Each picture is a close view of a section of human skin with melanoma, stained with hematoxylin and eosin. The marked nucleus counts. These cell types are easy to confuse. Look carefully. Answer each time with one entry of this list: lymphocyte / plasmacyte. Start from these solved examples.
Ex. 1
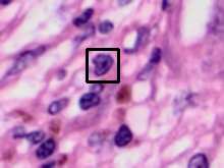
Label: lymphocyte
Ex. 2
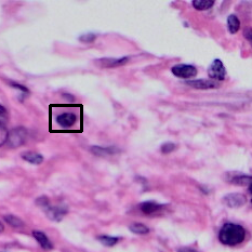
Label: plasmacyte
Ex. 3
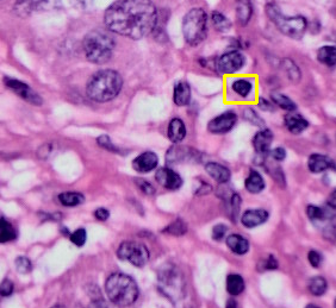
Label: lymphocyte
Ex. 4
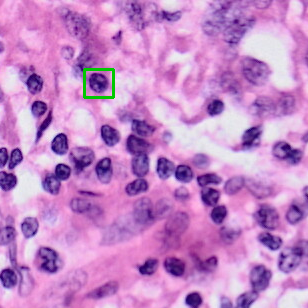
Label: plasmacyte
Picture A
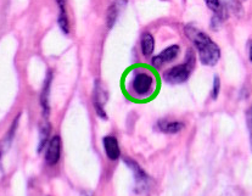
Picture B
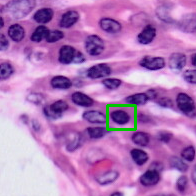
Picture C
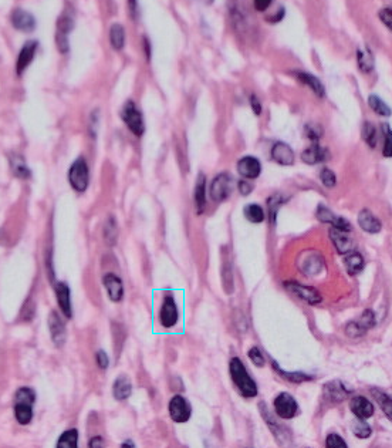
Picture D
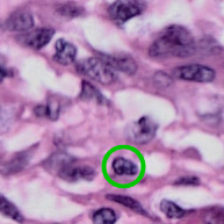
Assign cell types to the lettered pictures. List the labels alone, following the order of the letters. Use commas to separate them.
plasmacyte, plasmacyte, plasmacyte, lymphocyte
